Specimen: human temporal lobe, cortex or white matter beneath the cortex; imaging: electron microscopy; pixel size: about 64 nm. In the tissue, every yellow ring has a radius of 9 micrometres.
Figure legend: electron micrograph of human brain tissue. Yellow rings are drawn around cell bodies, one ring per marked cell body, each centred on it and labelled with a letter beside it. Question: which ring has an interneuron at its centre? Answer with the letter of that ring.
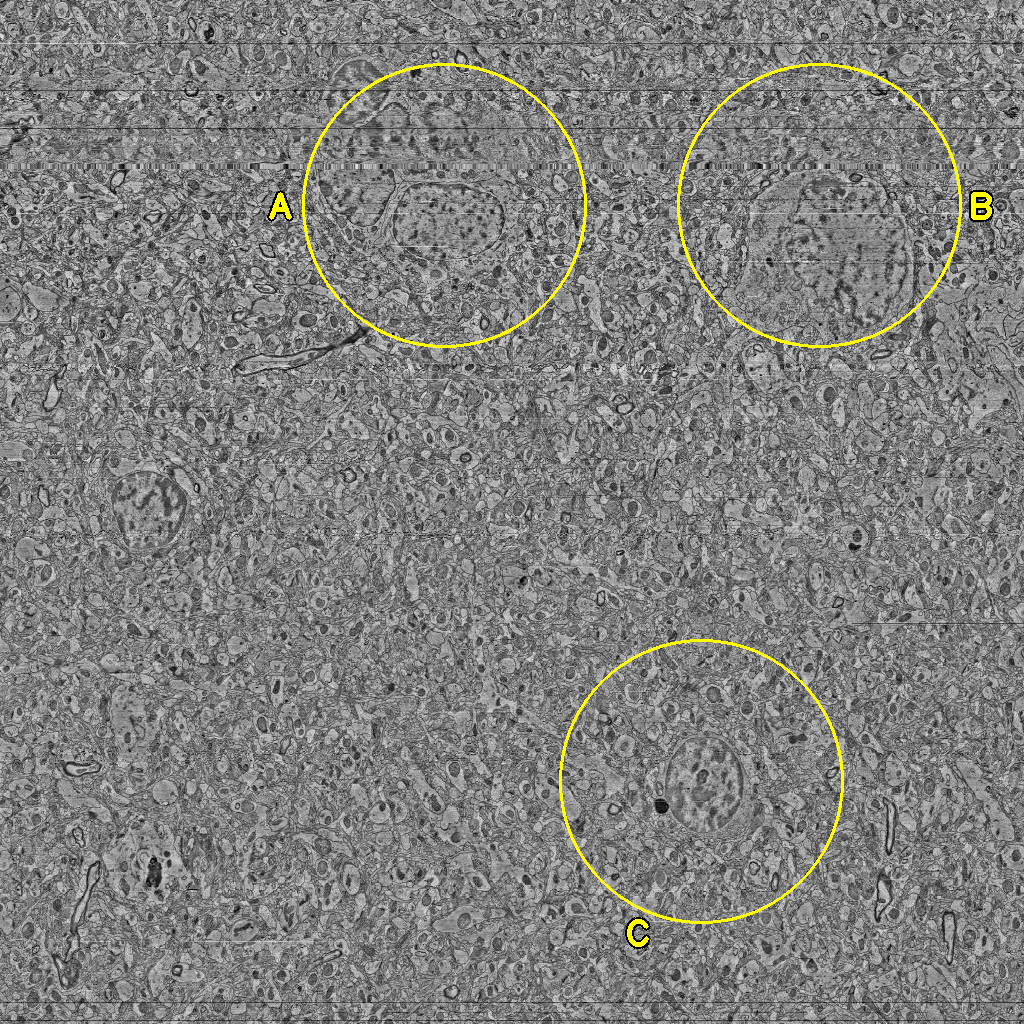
B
